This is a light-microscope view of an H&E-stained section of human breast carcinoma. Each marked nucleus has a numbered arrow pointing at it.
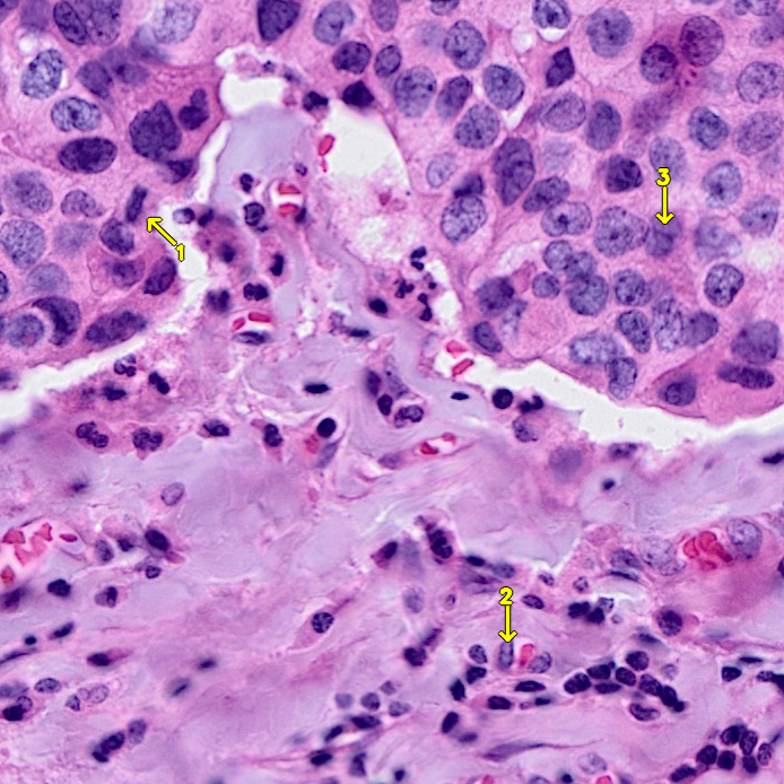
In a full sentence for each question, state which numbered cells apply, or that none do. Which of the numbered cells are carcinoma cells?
The cells with the number labels 1 and 3 are carcinoma cells.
